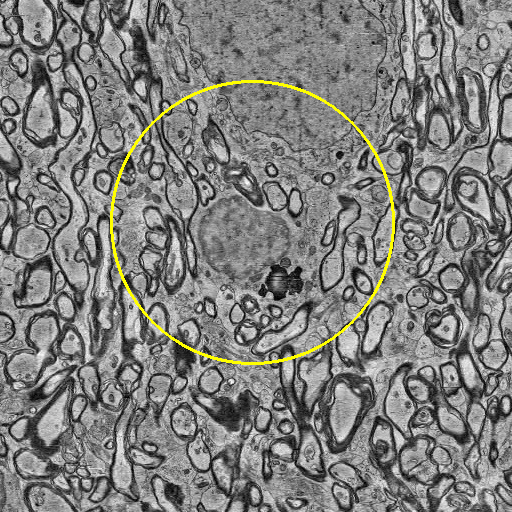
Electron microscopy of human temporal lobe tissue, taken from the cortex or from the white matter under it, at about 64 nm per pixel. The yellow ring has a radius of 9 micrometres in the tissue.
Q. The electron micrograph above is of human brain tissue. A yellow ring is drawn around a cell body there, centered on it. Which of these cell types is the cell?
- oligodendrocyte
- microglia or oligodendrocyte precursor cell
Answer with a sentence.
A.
The cell under the ring's center is an oligodendrocyte.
